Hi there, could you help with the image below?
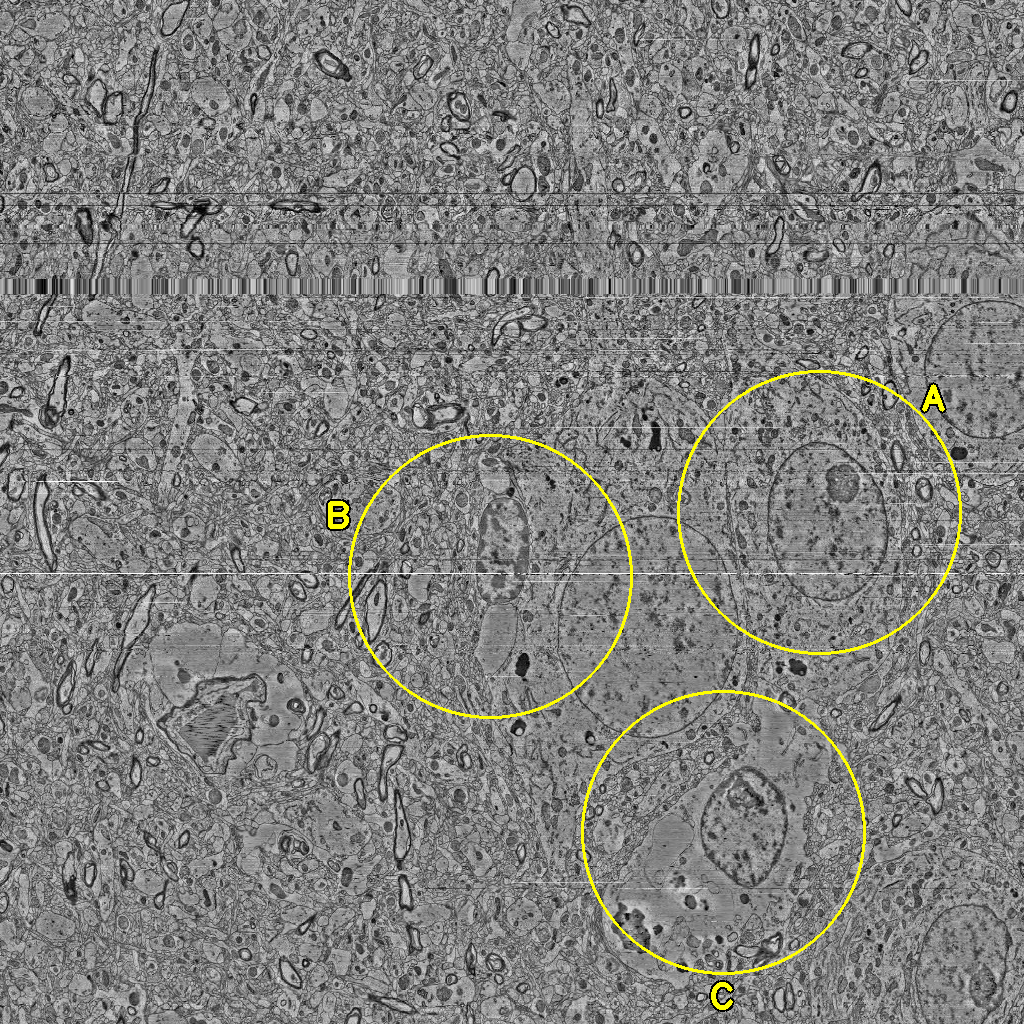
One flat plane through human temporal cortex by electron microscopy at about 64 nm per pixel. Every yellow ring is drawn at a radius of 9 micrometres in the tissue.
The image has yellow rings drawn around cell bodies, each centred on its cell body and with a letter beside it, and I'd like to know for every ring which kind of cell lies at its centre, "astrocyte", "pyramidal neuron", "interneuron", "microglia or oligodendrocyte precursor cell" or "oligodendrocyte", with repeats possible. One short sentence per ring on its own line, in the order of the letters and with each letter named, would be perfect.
Ring A is placed around a pyramidal neuron.
Ring B is placed around a microglial cell or oligodendrocyte precursor cell.
Ring C is placed around an astrocyte.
